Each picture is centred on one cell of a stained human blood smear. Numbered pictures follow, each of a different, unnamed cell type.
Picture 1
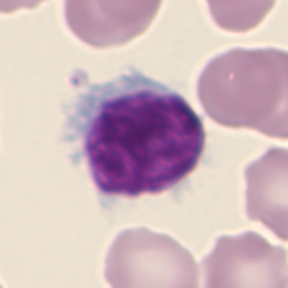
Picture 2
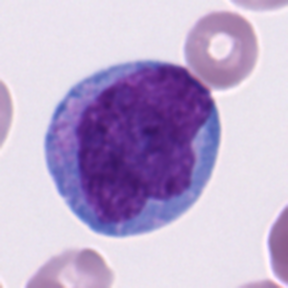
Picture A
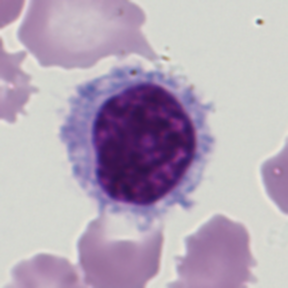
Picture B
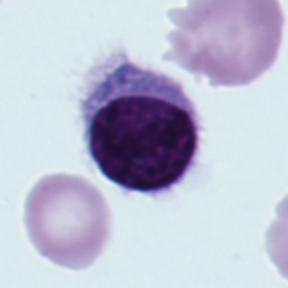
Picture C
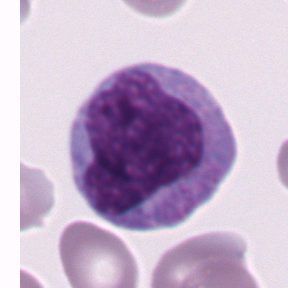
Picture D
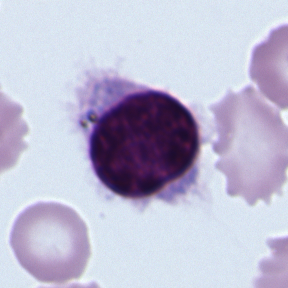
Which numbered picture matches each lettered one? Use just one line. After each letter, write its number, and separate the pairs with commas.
A 1, B 1, C 2, D 1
